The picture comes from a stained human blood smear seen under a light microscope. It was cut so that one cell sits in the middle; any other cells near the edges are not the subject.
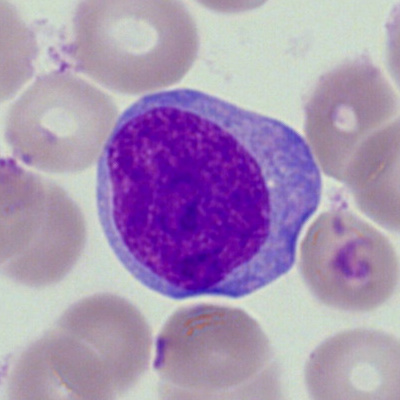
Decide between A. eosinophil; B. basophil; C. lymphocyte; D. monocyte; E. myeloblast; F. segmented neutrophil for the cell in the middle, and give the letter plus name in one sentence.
Option E holds, for the cell in the middle is a myeloblast.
